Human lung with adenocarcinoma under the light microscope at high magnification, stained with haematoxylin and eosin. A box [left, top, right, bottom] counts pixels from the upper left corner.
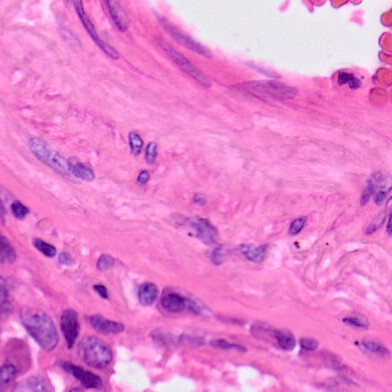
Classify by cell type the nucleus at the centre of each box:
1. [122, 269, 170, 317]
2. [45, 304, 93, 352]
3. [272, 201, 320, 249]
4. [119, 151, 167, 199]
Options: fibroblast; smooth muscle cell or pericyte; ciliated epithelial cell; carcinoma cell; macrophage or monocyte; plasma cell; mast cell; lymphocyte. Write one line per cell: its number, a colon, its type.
1: lymphocyte
2: carcinoma cell
3: smooth muscle cell or pericyte
4: smooth muscle cell or pericyte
